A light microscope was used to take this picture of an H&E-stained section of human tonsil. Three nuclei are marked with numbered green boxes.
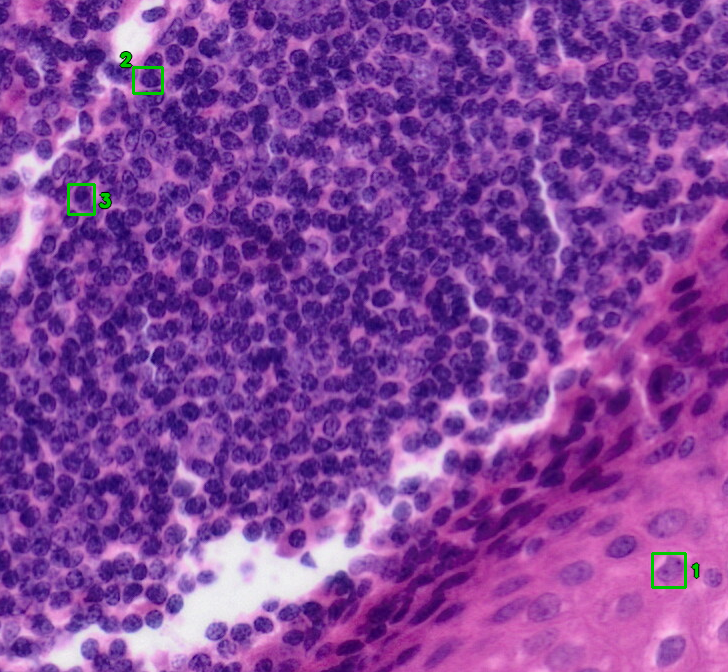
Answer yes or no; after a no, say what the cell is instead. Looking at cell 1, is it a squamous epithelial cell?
Yes.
